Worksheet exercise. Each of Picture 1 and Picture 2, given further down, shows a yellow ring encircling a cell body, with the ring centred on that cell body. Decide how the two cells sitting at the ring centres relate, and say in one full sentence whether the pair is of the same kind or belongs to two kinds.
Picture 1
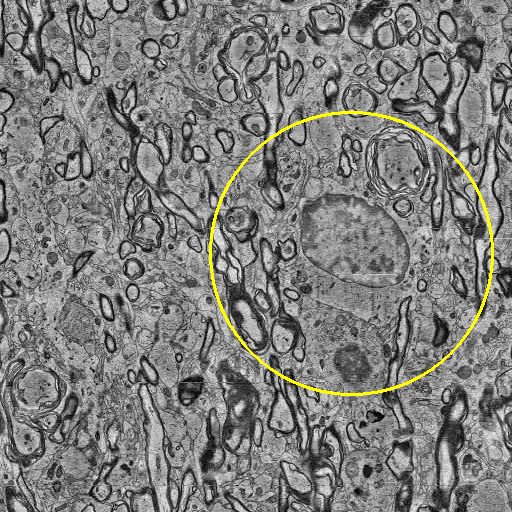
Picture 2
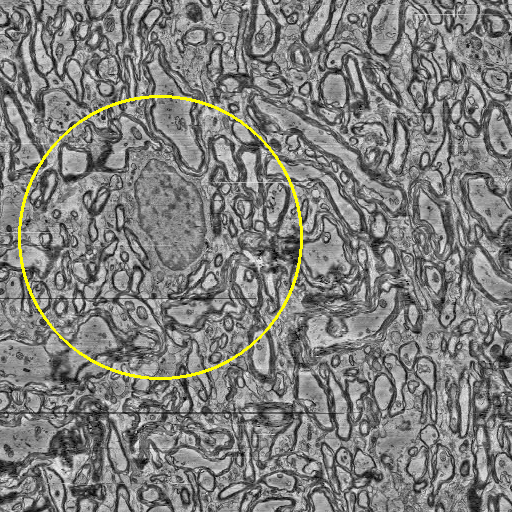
The cells at the ring centres in Picture 1 and Picture 2 belong to two kinds.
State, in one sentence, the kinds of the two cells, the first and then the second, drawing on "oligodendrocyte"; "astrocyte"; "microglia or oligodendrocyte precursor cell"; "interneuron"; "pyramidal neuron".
The ring in the second picture is centred on an oligodendrocyte, the ring in the first on a microglial cell or oligodendrocyte precursor cell.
